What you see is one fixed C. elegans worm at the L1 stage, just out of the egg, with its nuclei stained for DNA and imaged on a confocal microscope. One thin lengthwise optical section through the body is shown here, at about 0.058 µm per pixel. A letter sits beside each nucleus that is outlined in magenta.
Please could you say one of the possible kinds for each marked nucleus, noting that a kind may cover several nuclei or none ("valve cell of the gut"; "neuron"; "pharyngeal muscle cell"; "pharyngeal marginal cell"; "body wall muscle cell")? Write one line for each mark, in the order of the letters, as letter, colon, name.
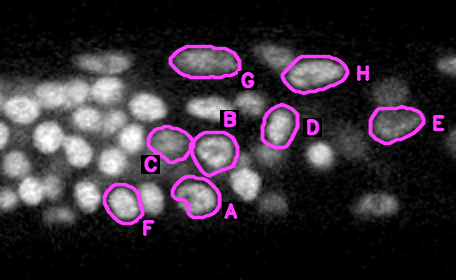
A: body wall muscle cell
B: pharyngeal muscle cell
C: pharyngeal muscle cell
D: valve cell of the gut
E: neuron
F: neuron
G: body wall muscle cell
H: body wall muscle cell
